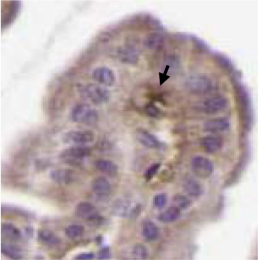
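This shows the tip of a small intestinal villus with a single layer of columnar enterocytes surrounding the lamina propria core. The enterocytes have elongated blue nuclei arranged in a row and cytoplasm with a diffuse brown tint. The central core contains loosely arranged cells, some with dark brown deposits. The brown colour is strongest in the core near the villus tip.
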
